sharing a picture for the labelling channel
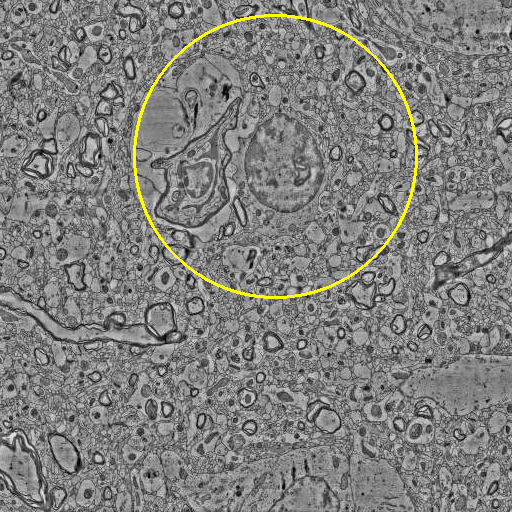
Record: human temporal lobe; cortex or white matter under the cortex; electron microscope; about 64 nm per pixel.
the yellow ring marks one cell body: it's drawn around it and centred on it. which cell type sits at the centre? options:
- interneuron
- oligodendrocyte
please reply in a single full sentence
In the picture, the cell at the ring's centre is an oligodendrocyte, going by the list.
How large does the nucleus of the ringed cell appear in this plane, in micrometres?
About 6 by 5 micrometres in this plane.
